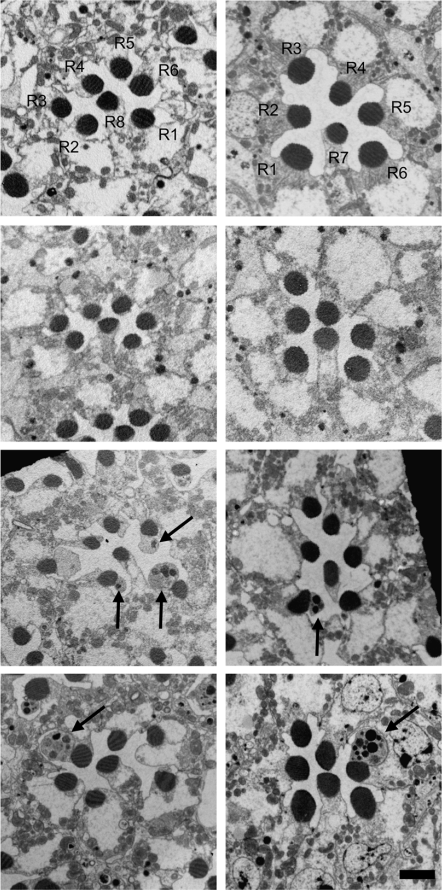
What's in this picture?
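These are electron micrographs of cross-sectioned ommatidia in a fly compound eye. Each shows photoreceptor cells arranged around a pale central space, into which dark, densely stained rhabdomeres project, seven per ommatidium, forming a rosette. Around the rosette lie the photoreceptor cell bodies, with grey, granular cytoplasm, separated by thin membranes from the surrounding cells. In the lower images, rounded membrane-bound bodies containing dark granules and vesicles sit close to the rhabdomeres, as the arrows indicate.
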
